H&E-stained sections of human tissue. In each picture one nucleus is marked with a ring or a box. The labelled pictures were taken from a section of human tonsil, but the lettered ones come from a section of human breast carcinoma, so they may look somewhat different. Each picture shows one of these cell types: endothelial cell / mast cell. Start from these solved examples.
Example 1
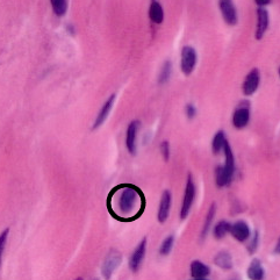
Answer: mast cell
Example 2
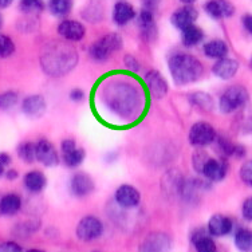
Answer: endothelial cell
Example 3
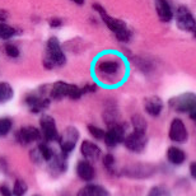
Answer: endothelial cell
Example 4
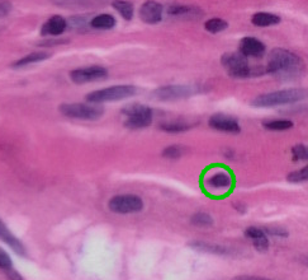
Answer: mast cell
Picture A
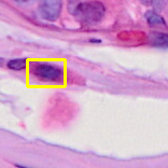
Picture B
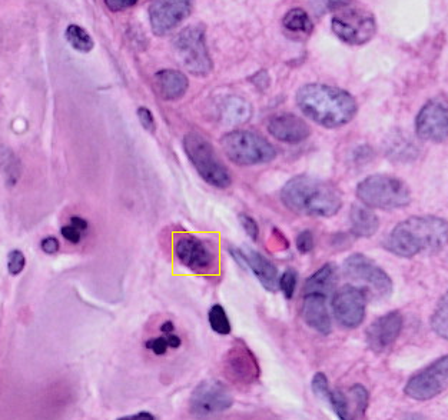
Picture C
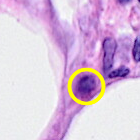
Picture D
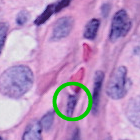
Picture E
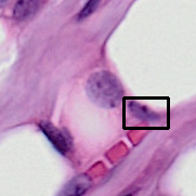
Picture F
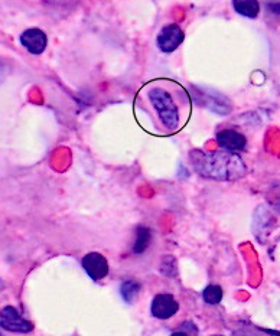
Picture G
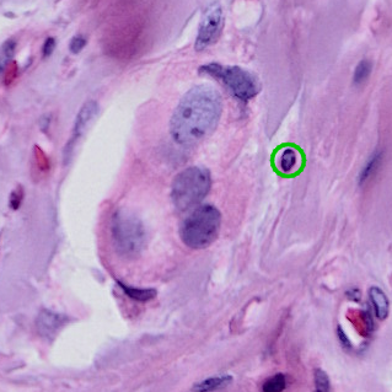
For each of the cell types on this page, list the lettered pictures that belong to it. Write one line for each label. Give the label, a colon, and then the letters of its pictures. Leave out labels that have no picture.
endothelial cell: D, E
mast cell: A, B, C, F, G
